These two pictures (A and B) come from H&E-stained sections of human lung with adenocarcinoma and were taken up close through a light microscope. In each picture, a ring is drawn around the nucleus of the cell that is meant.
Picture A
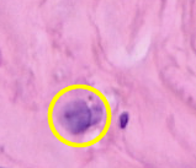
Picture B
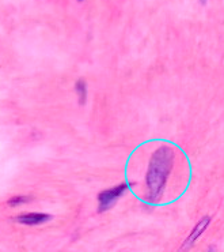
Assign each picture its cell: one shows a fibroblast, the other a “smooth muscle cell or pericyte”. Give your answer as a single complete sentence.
The cell in picture A is a fibroblast, and the one in picture B is a “smooth muscle cell or pericyte”.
